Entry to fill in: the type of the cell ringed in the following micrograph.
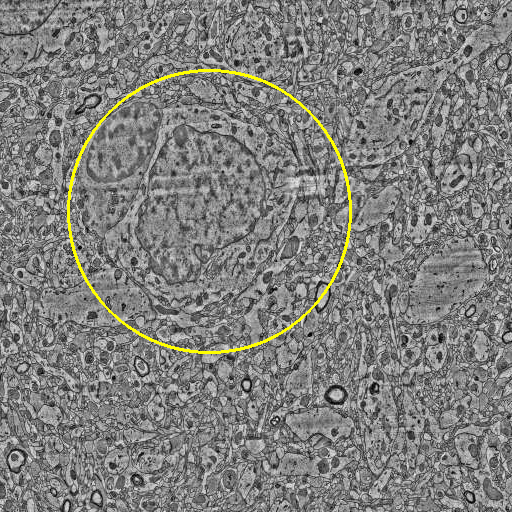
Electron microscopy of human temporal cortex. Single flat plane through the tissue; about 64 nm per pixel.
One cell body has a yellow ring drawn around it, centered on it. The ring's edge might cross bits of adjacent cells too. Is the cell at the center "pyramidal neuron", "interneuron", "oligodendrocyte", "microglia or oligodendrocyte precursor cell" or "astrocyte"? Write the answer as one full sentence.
This entry names an interneuron as the cell whose body lies at the ring's center.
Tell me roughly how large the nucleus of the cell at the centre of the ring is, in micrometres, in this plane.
The nucleus comes to roughly 10 by 8 micrometres in this plane.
